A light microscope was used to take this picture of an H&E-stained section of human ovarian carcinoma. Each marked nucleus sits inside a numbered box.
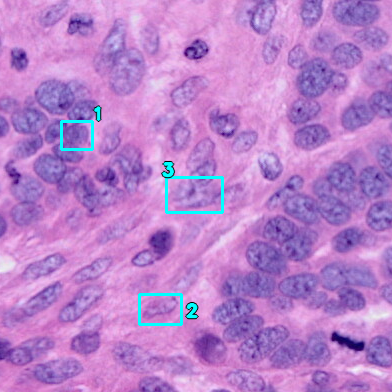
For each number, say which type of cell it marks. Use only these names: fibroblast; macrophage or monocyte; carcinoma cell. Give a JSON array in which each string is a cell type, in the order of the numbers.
["carcinoma cell", "fibroblast", "fibroblast"]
